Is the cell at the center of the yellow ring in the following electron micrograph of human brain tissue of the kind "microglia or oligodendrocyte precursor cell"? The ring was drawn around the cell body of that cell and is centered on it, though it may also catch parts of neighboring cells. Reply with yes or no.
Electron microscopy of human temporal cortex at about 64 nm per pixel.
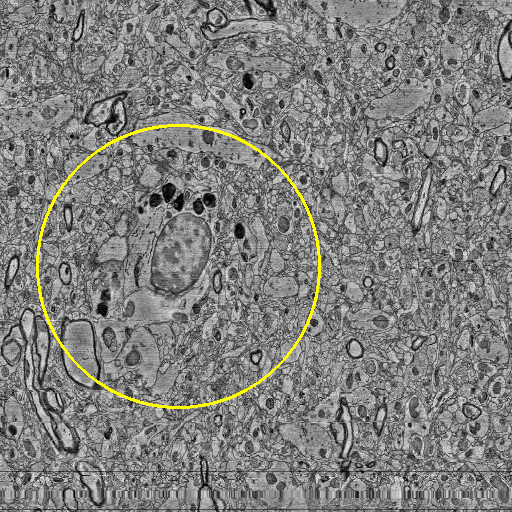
Yes, that is its kind.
